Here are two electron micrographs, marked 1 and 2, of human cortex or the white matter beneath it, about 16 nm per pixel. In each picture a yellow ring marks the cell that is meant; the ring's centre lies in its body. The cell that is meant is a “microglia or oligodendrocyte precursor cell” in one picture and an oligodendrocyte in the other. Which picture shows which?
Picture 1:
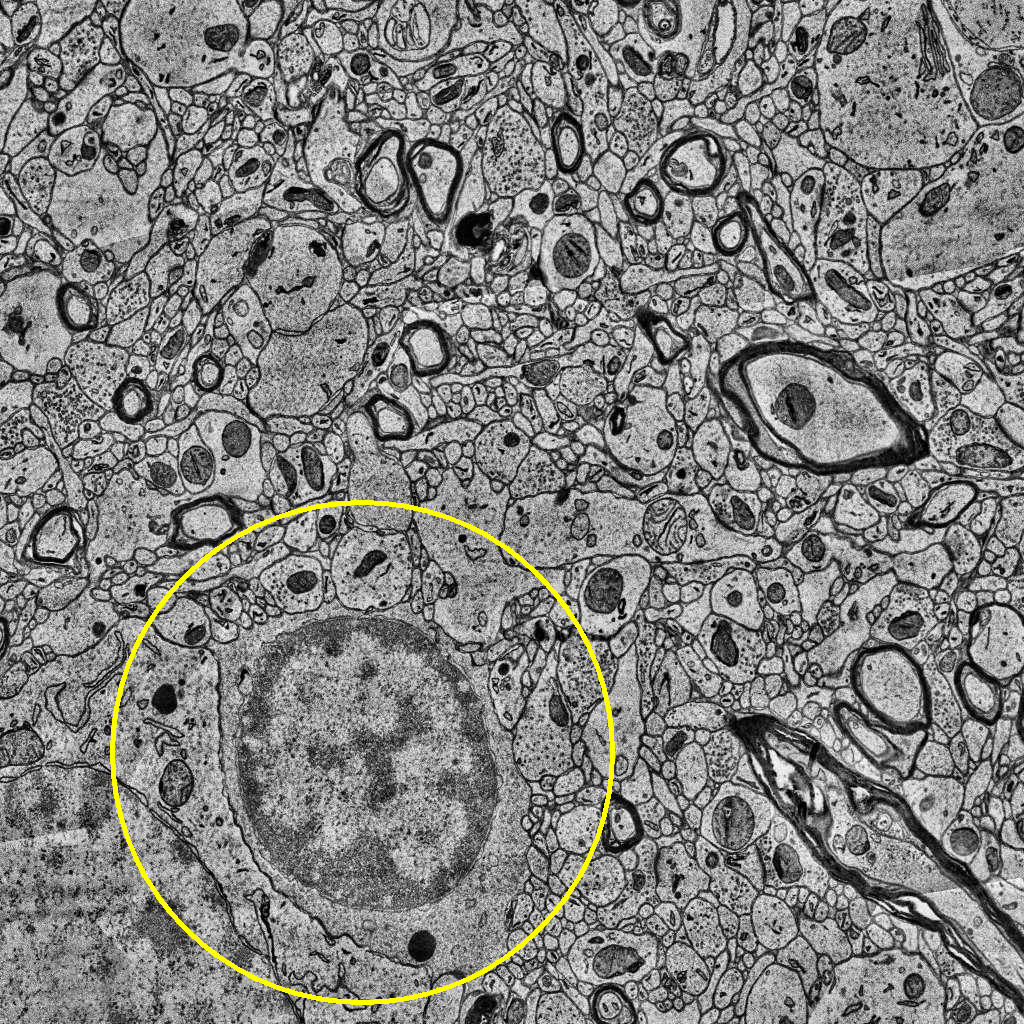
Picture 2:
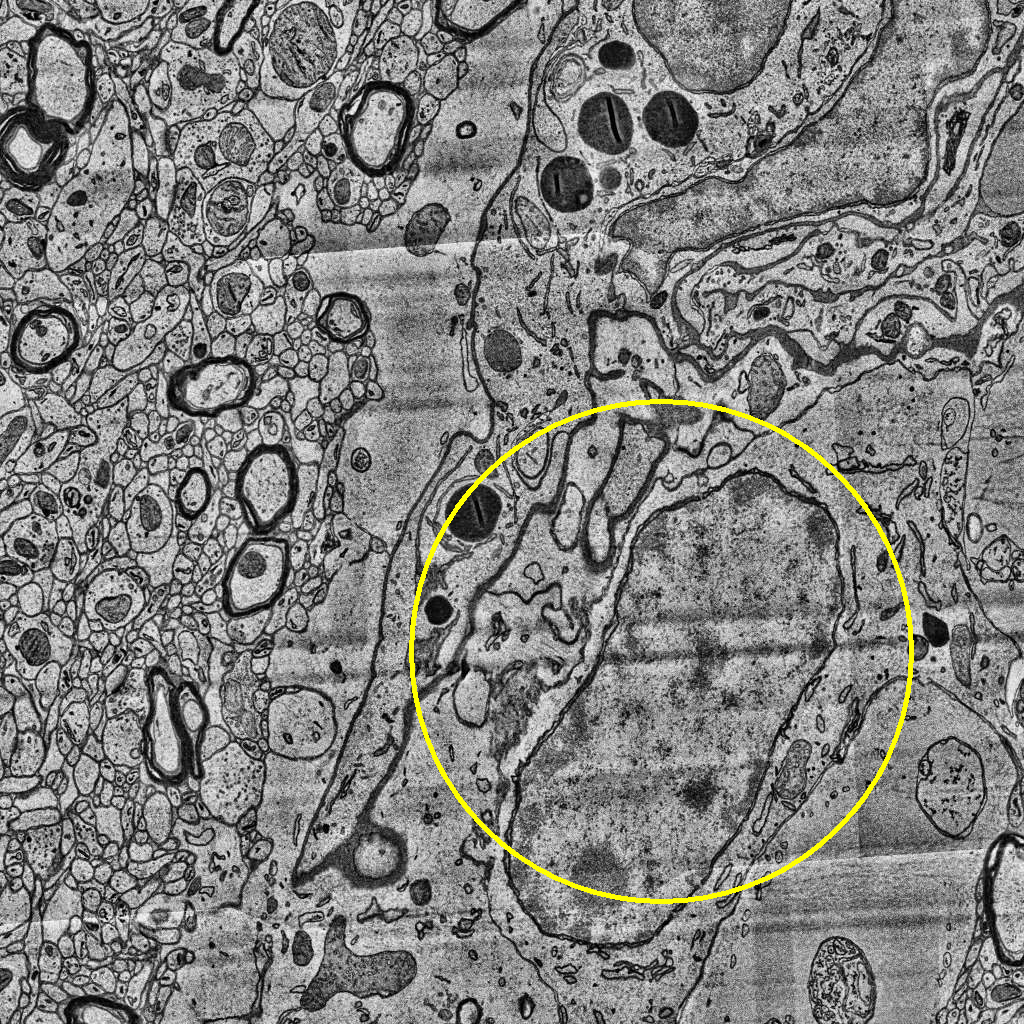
Picture 2 shows a “microglia or oligodendrocyte precursor cell”, while picture 1 shows an oligodendrocyte.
